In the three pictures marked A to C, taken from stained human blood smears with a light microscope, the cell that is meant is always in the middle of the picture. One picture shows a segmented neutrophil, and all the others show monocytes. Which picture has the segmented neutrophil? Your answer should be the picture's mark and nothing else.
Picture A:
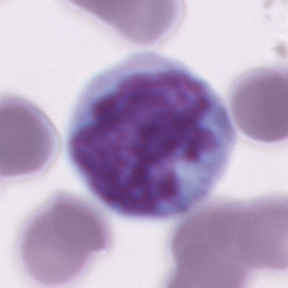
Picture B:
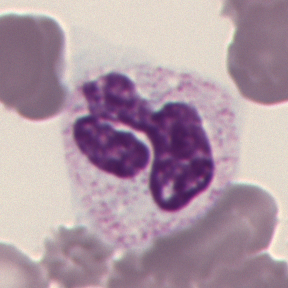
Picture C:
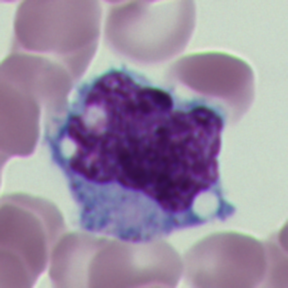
B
